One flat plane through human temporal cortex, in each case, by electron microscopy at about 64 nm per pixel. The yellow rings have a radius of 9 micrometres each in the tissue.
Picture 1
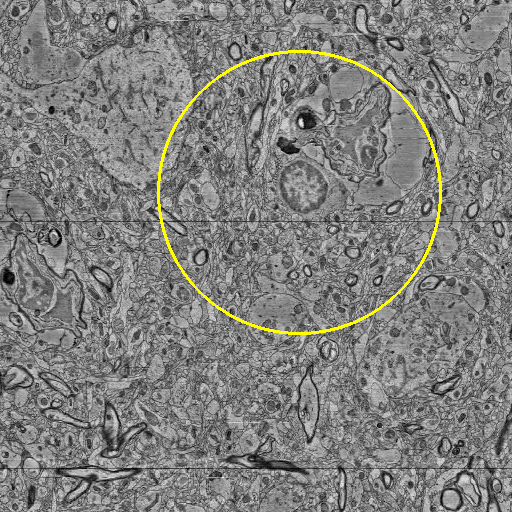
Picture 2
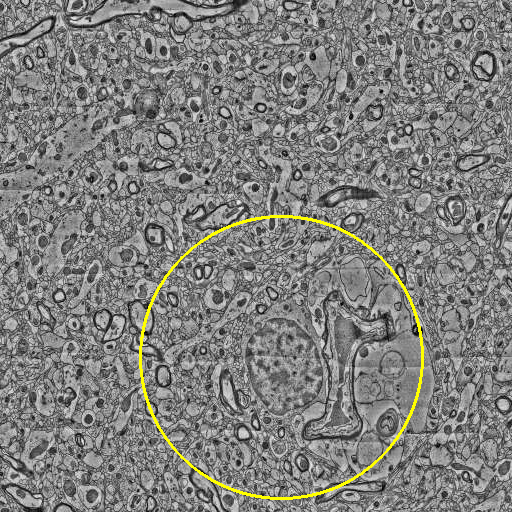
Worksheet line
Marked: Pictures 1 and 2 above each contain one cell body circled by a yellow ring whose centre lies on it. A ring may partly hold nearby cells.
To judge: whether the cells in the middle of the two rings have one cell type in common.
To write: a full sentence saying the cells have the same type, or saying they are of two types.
The cells in the middle of the rings in Picture 1 and Picture 2 have the same type.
